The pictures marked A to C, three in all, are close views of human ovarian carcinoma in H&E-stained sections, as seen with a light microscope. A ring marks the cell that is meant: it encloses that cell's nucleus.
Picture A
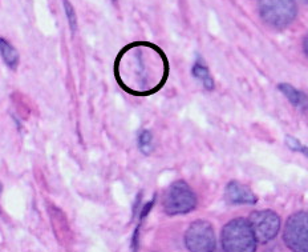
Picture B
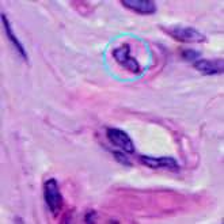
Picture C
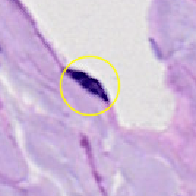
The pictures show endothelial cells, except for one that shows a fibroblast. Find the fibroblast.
A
